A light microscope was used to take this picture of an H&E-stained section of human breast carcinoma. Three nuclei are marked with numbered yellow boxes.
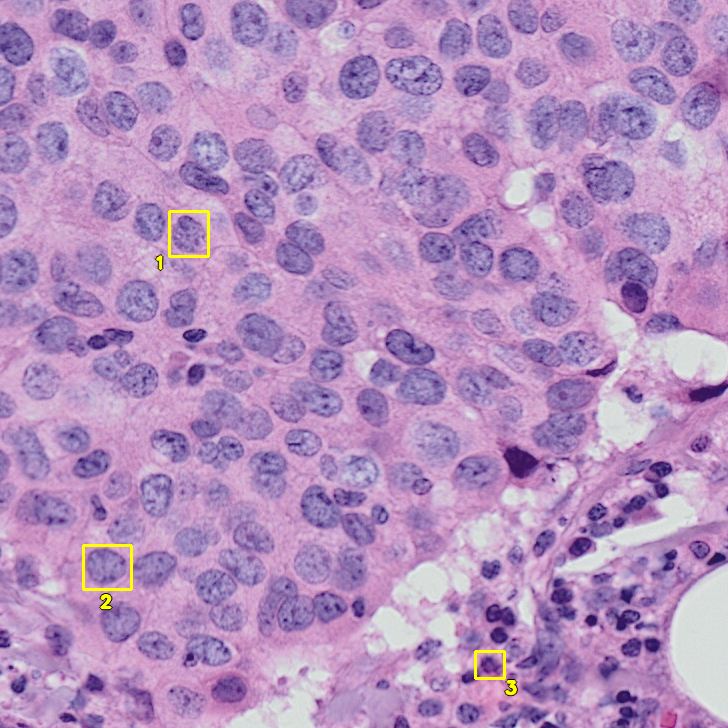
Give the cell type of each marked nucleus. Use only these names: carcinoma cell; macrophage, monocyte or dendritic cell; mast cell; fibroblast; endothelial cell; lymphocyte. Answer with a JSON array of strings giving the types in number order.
["carcinoma cell", "carcinoma cell", "lymphocyte"]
